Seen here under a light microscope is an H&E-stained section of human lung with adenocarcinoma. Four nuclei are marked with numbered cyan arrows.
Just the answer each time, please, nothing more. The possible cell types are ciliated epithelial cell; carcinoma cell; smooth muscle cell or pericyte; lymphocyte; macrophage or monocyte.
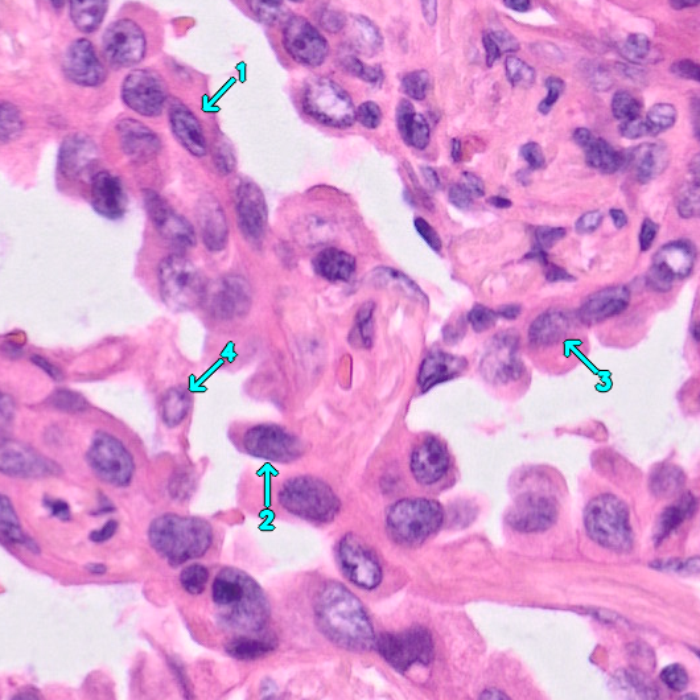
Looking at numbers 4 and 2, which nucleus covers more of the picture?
2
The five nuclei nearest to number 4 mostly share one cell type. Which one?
carcinoma cell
